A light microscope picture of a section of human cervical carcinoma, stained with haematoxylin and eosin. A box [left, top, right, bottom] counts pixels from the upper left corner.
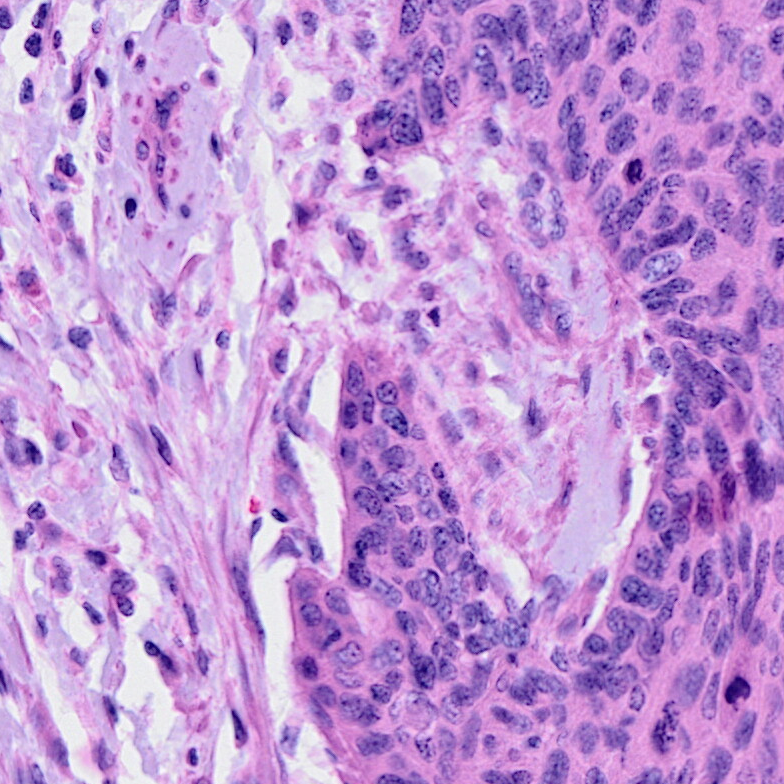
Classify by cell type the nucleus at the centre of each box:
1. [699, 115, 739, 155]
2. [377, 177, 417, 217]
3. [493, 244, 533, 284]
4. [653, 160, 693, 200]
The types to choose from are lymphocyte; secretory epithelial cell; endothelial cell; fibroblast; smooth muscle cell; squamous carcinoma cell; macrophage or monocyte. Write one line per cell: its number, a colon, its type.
1: squamous carcinoma cell
2: macrophage or monocyte
3: endothelial cell
4: squamous carcinoma cell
